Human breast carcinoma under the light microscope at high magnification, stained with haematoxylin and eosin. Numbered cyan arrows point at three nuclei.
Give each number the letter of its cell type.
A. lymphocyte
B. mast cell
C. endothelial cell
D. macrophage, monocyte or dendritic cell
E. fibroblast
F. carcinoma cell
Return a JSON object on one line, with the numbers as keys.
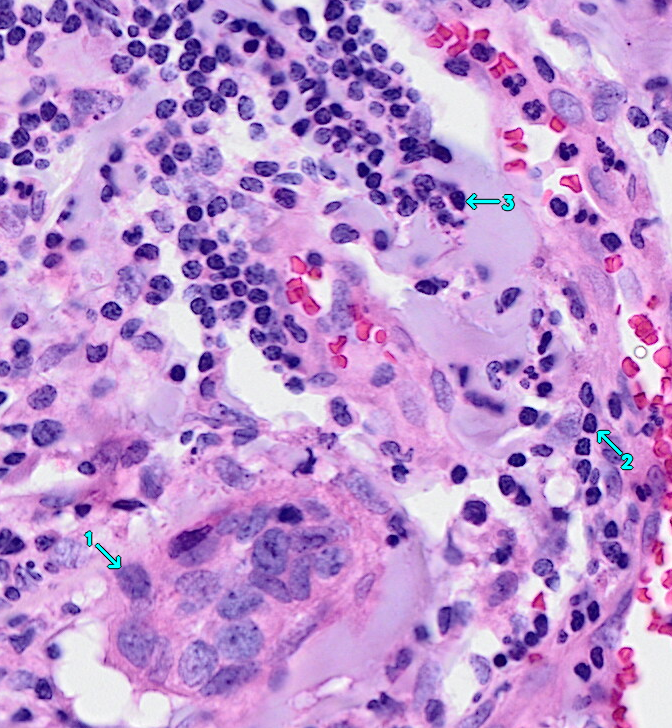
{"1": "F", "2": "A", "3": "A"}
